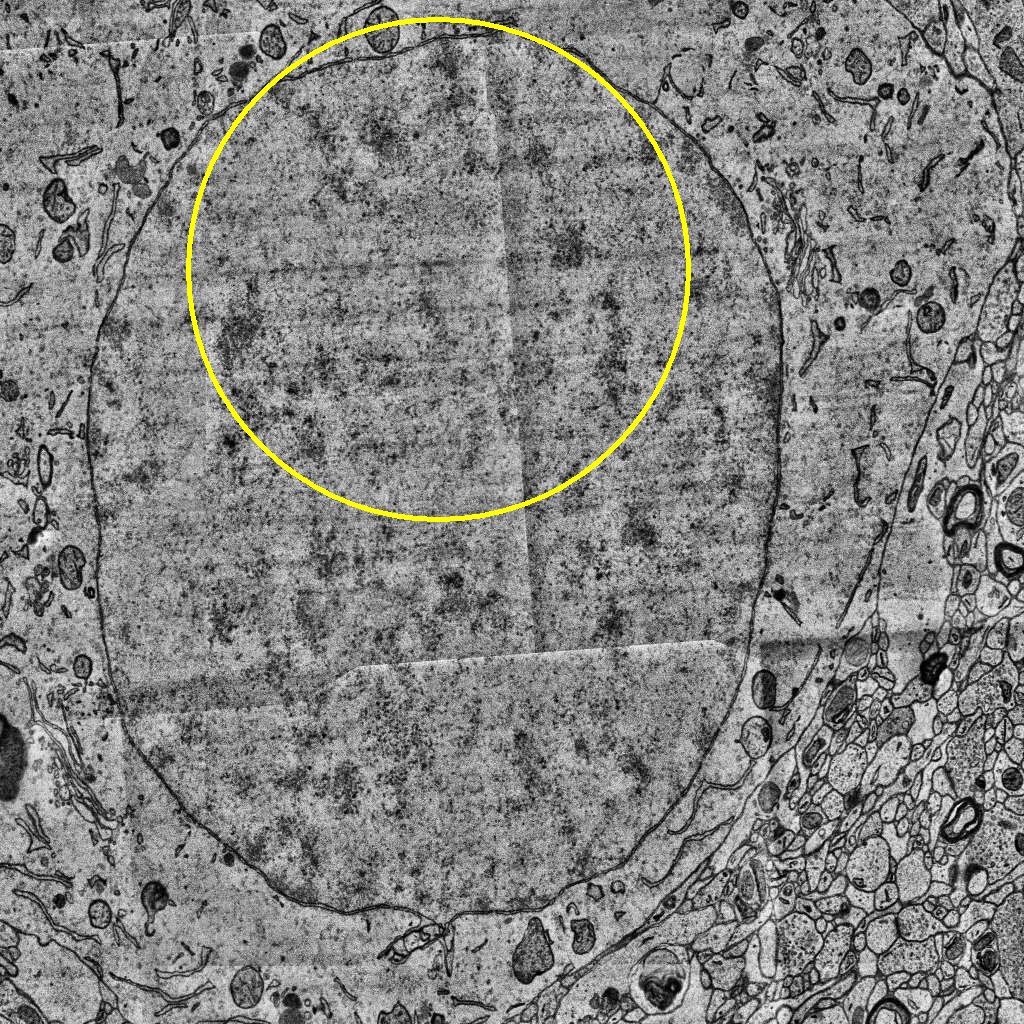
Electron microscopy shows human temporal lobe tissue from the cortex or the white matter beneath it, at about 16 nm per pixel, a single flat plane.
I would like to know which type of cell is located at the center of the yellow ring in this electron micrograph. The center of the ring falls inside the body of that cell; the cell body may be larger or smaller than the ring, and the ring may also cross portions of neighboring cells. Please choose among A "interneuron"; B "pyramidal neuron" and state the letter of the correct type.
B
